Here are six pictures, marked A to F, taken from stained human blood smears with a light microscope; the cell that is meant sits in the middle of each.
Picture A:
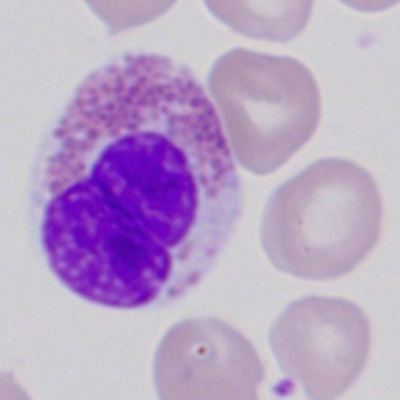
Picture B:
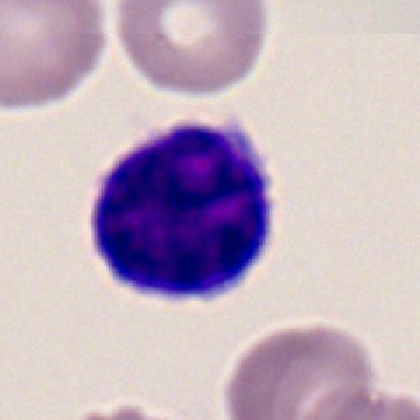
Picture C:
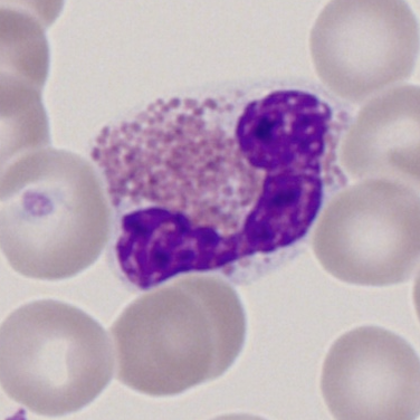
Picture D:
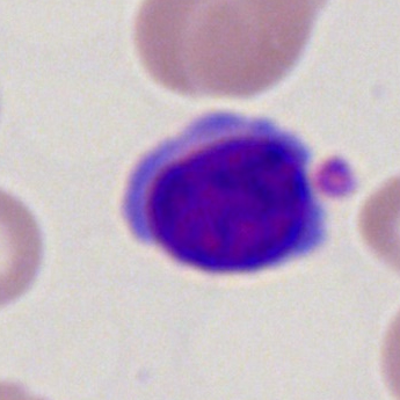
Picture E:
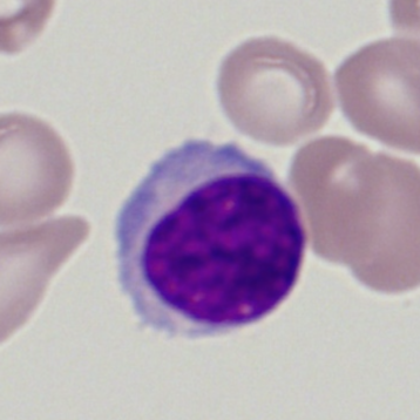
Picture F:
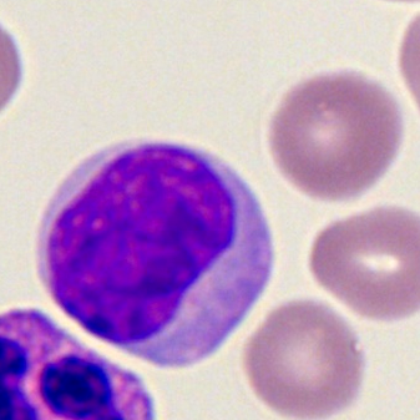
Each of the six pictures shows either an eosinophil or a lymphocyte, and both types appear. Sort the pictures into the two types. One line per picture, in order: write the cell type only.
eosinophil
lymphocyte
eosinophil
lymphocyte
lymphocyte
lymphocyte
